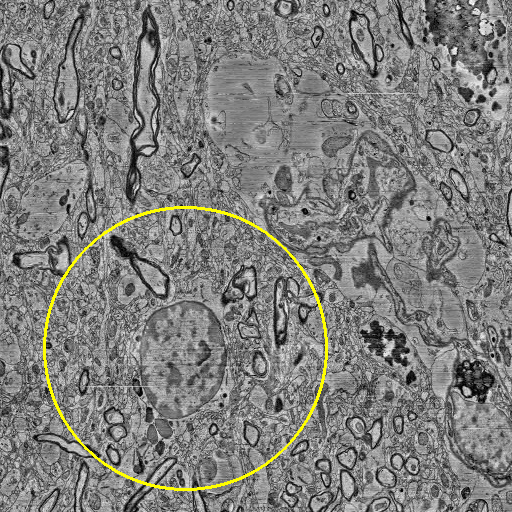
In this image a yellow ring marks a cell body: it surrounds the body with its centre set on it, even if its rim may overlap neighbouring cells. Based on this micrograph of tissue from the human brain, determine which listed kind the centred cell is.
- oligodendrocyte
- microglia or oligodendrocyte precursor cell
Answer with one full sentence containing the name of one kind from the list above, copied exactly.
It is a microglial cell or oligodendrocyte precursor cell whose body the yellow ring encloses at its centre.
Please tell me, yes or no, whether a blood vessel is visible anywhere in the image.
Yes, one appears.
